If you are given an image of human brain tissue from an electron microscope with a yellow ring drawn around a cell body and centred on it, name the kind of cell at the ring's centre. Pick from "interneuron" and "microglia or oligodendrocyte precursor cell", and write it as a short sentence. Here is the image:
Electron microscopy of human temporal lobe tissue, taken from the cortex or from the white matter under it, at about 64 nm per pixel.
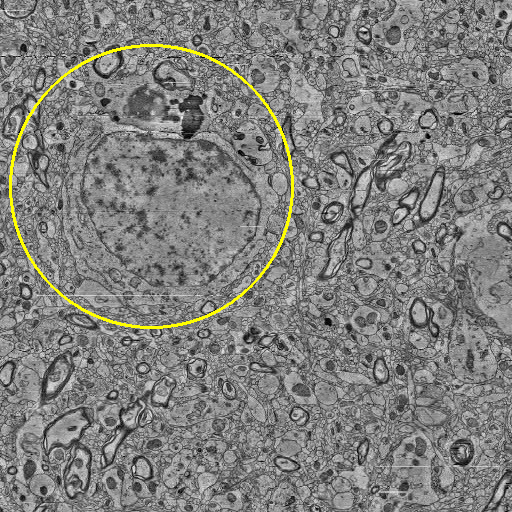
The cell at the ring's centre is an interneuron.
